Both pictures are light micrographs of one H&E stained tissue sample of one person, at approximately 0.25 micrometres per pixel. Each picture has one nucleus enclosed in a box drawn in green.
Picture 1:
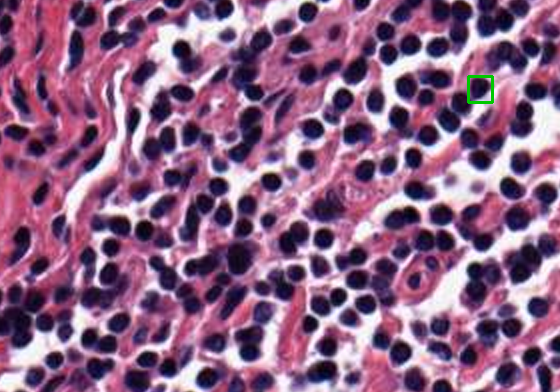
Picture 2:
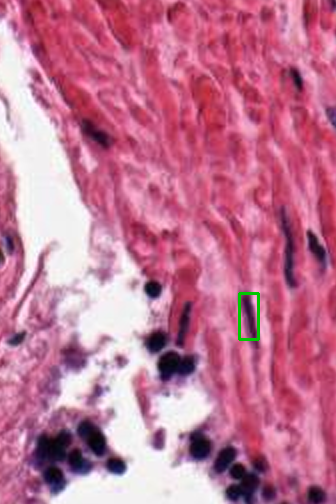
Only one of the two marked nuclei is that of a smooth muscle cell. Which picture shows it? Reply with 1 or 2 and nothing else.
2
